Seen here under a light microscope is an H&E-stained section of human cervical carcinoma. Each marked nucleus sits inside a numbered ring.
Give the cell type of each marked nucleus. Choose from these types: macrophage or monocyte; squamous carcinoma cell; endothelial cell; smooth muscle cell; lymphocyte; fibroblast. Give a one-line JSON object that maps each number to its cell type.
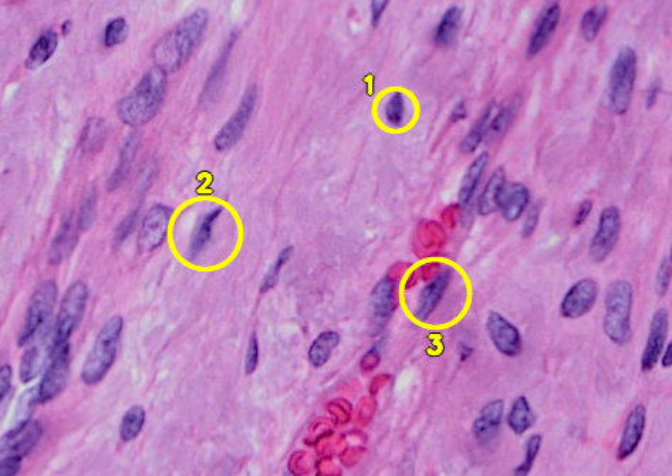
{"1": "fibroblast", "2": "fibroblast", "3": "endothelial cell"}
